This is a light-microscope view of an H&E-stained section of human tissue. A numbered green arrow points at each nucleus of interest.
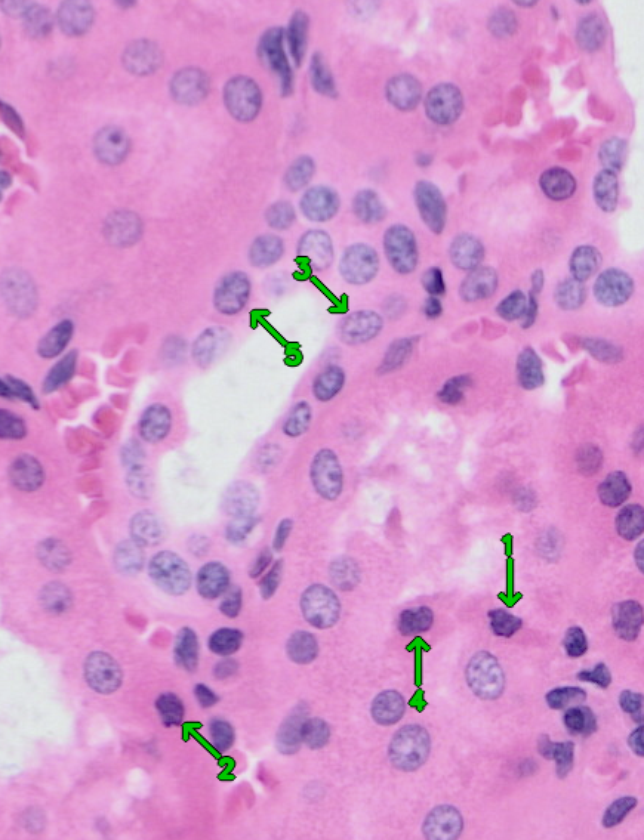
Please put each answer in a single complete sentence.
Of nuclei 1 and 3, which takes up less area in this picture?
With nucleus 3 about 1.5 times its size, nucleus 1 is the smaller of the two.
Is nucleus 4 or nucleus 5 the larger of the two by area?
At about 1.5 times the area of nucleus 4, nucleus 5 is the larger of the two.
